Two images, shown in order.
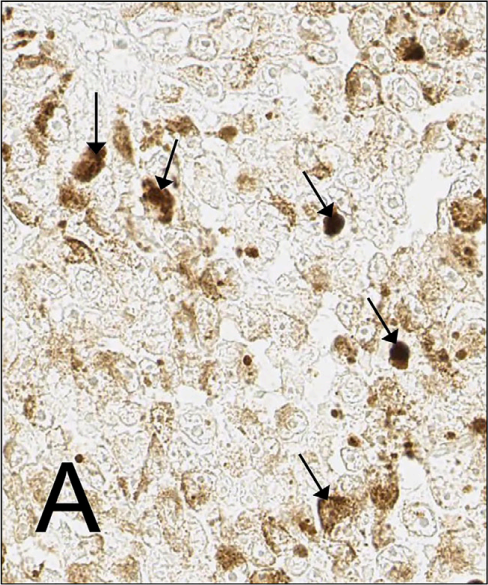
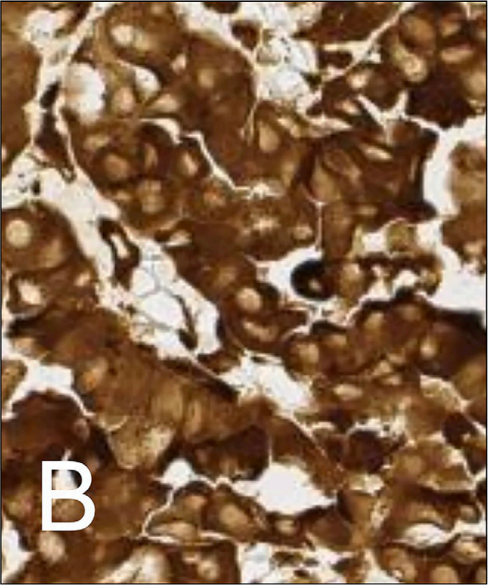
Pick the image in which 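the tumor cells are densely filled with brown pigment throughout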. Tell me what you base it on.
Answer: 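Second image: nearly every cell has uniformly dark brown cytoplasm. First image: most cells are pale, with brown granules only in some cells and scattered clumps.
Answer: the second image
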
